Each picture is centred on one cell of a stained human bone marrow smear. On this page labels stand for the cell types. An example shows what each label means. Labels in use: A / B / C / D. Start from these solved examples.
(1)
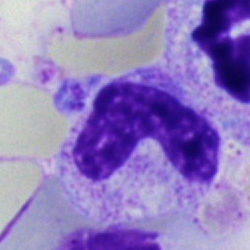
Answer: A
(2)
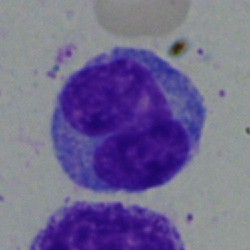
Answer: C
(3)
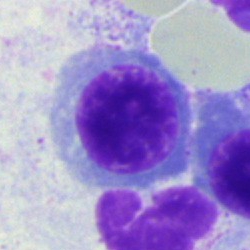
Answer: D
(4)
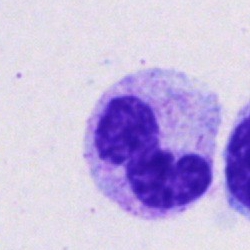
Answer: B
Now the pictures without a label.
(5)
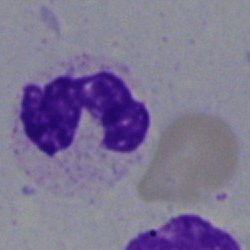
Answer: B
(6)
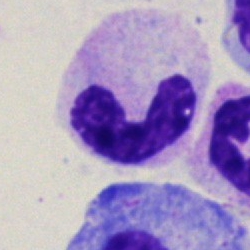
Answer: A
